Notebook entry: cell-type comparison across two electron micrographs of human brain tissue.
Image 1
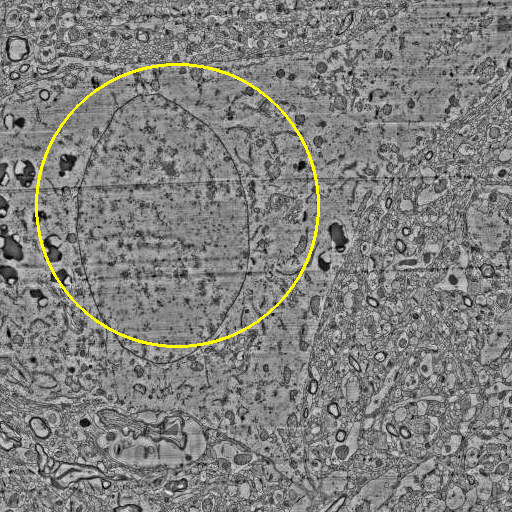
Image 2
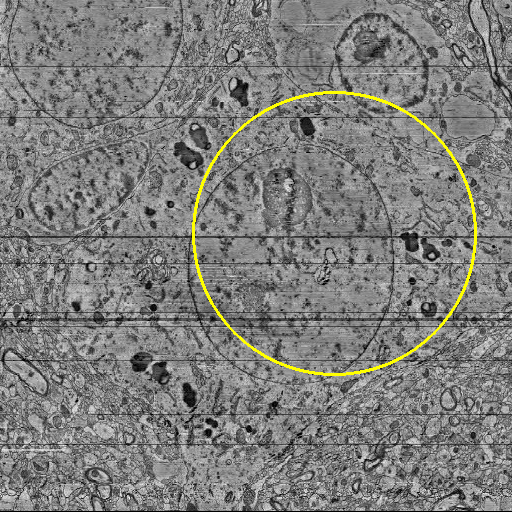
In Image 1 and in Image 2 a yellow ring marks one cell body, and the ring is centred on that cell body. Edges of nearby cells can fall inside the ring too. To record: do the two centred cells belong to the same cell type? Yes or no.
yes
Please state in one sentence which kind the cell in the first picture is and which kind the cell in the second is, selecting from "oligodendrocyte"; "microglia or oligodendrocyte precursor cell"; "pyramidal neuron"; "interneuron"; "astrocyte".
Both pictures show a pyramidal neuron at the centre of the ring.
